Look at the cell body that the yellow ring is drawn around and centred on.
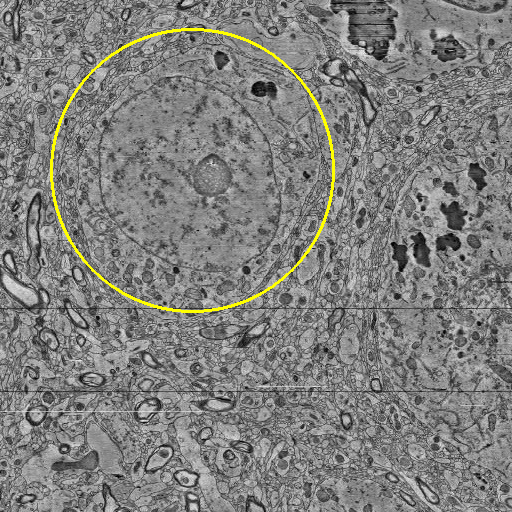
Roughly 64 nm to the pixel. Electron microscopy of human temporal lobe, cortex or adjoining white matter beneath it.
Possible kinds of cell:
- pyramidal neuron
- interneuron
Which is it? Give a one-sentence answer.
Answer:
The centred cell body is that of a pyramidal neuron.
